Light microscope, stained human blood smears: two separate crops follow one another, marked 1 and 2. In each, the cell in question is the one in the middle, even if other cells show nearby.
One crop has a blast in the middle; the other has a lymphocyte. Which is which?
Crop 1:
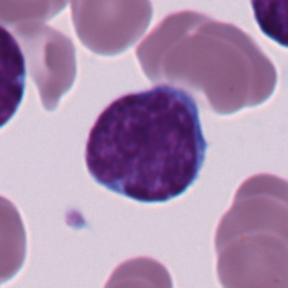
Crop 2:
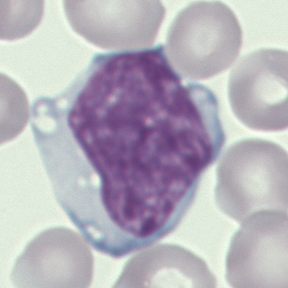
1: lymphocyte
2: blast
